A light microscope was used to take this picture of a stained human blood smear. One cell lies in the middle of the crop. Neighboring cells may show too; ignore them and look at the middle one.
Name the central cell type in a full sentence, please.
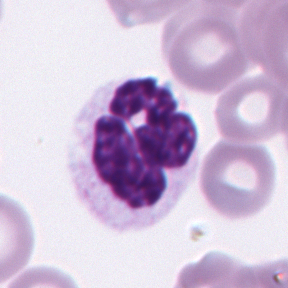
To answer, the cell in the center of the crop is a segmented neutrophil.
